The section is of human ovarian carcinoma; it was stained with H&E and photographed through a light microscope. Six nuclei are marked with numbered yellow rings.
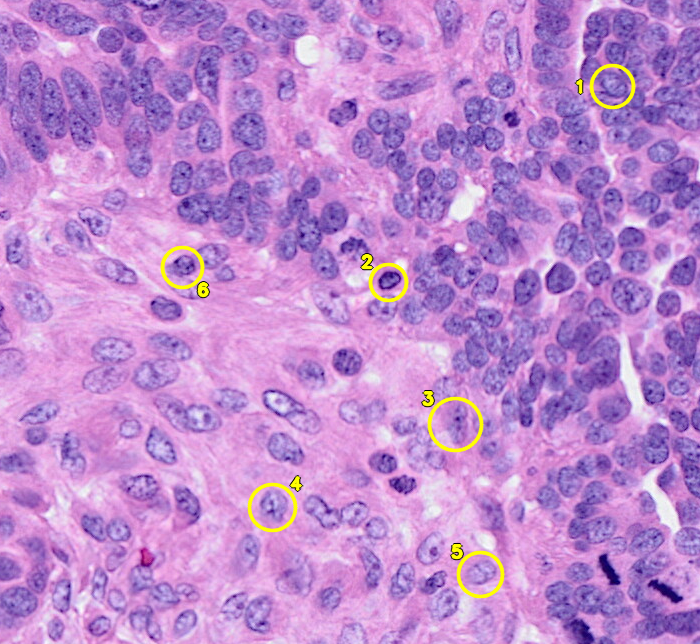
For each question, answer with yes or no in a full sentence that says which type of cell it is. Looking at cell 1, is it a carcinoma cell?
Yes, number 1 is assigned to a cell that is a carcinoma cell.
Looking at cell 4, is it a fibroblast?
Yes, correct, the cell with the number 4 is a fibroblast.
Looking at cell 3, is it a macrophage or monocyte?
No, cell 3 counts as a fibroblast rather than as a macrophage or monocyte.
